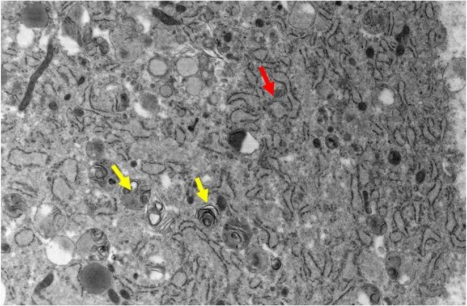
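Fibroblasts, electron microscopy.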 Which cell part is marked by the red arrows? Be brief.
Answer: Dilated endoplasmic reticulum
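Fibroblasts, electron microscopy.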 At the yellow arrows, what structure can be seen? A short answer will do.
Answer: Vacuoles containing cell breakdown material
